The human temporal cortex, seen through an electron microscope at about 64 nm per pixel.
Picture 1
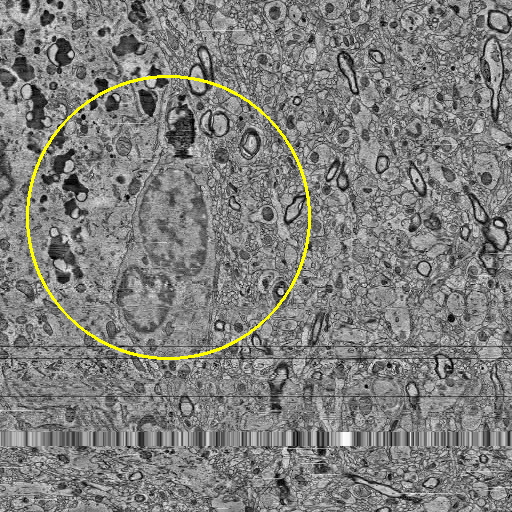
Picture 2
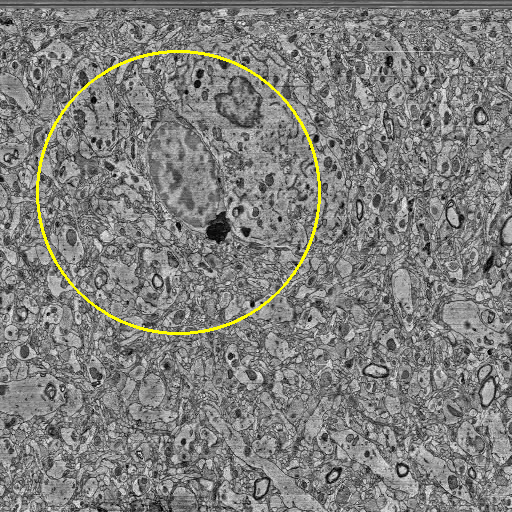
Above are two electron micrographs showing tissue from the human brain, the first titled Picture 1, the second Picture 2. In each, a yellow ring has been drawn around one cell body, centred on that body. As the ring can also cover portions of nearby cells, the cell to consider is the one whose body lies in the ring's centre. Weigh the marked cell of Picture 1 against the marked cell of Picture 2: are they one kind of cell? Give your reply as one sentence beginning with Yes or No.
Yes, the two cells sitting at the ring centres in the pictures are of one kind.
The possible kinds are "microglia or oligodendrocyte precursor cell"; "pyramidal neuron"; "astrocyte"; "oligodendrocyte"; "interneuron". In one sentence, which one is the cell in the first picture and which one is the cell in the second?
The first and the second cell are each an oligodendrocyte.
